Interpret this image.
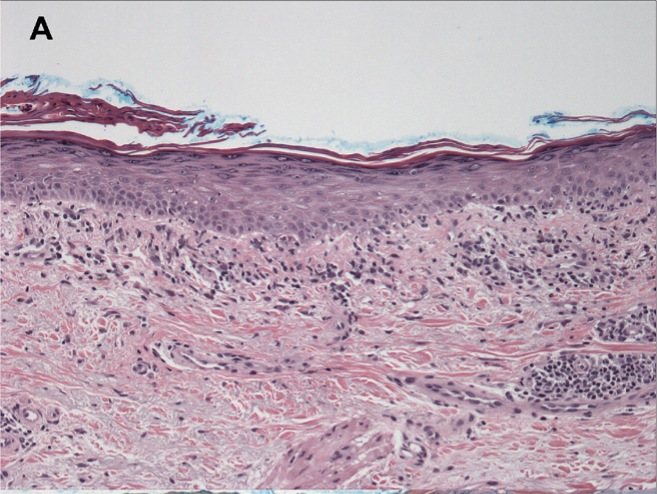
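Skin with a thin layer of flaky keratin over a stratified squamous epidermis, beneath which the pink collagen of the dermis is infiltrated by many small, dark, round inflammatory nuclei. The inflammatory cells gather along the junction between epidermis and dermis, blurring it, and form a dense cluster around a vessel in the mid-dermis at the right.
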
